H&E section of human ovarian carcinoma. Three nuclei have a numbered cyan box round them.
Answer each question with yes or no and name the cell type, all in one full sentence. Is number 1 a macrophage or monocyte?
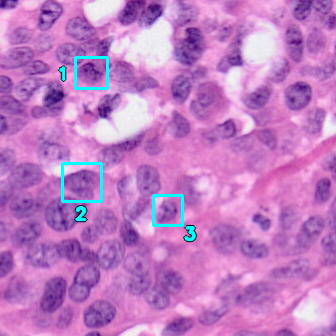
No, what is marked as number 1 is a carcinoma cell rather than a macrophage or monocyte.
